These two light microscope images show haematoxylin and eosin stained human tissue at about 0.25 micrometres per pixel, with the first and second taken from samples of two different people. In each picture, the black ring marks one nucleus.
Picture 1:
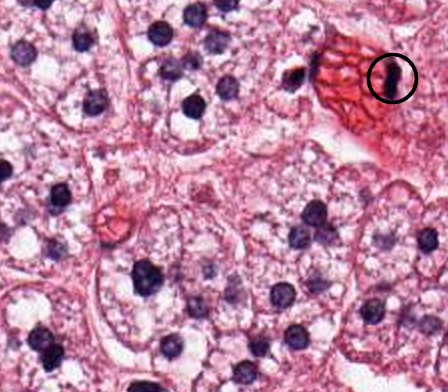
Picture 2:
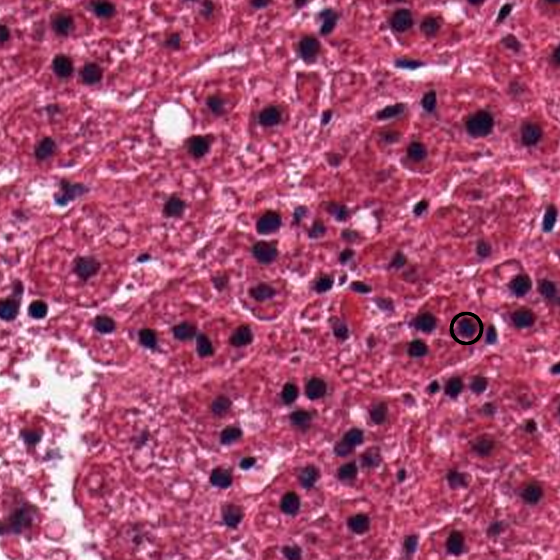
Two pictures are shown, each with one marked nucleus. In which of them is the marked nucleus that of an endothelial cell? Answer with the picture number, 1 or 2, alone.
1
